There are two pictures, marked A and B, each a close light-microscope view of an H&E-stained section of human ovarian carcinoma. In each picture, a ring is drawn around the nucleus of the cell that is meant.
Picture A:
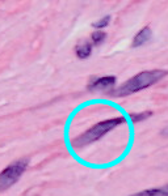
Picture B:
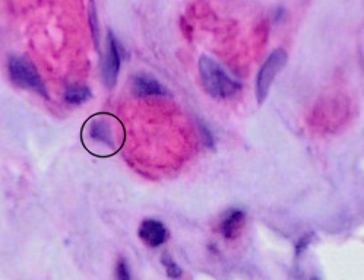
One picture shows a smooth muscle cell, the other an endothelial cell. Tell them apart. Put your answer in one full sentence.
The cell in picture A is a smooth muscle cell, and the one in picture B is an endothelial cell.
